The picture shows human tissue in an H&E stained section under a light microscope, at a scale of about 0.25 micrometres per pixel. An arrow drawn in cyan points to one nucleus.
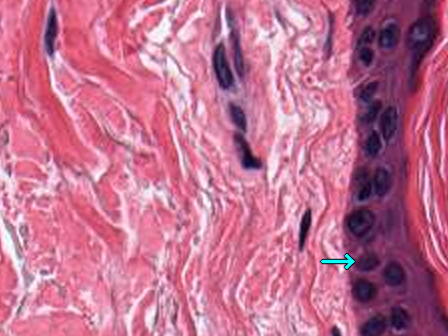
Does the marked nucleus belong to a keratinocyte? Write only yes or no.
yes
